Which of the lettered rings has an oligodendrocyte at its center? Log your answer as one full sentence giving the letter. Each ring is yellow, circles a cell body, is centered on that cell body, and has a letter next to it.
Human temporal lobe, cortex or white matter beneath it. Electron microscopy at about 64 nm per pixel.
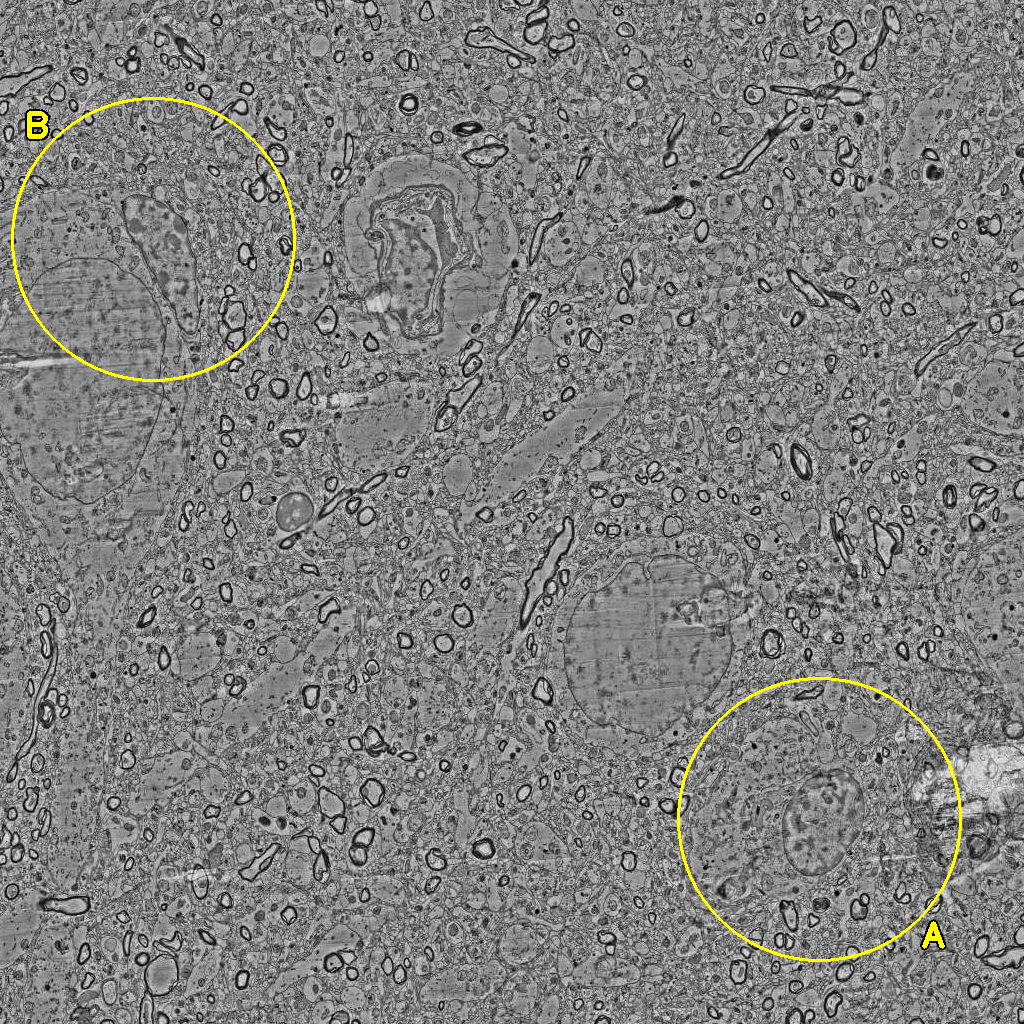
The lettered ring centered on the cell asked for is ring A.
